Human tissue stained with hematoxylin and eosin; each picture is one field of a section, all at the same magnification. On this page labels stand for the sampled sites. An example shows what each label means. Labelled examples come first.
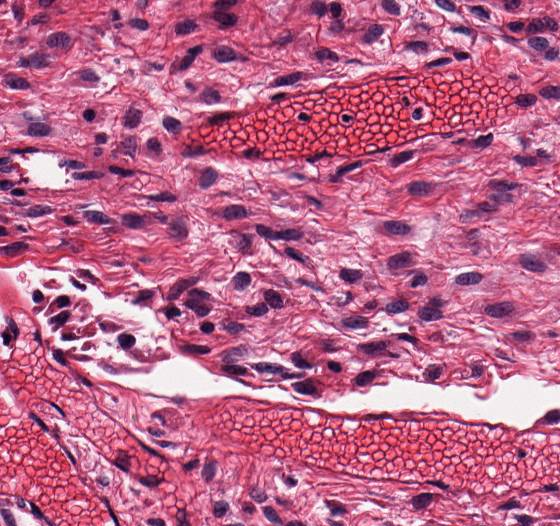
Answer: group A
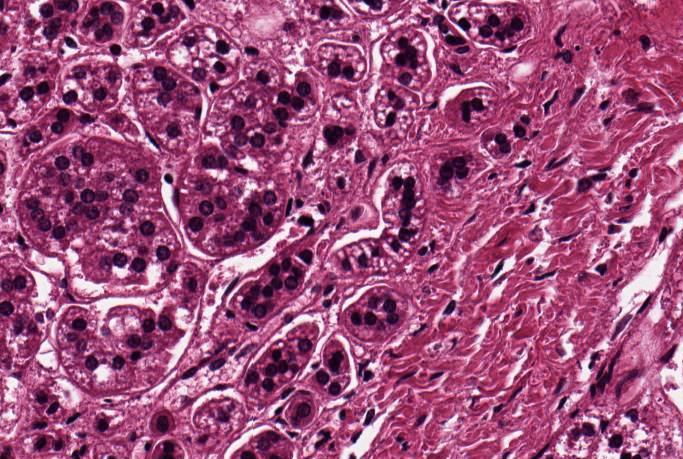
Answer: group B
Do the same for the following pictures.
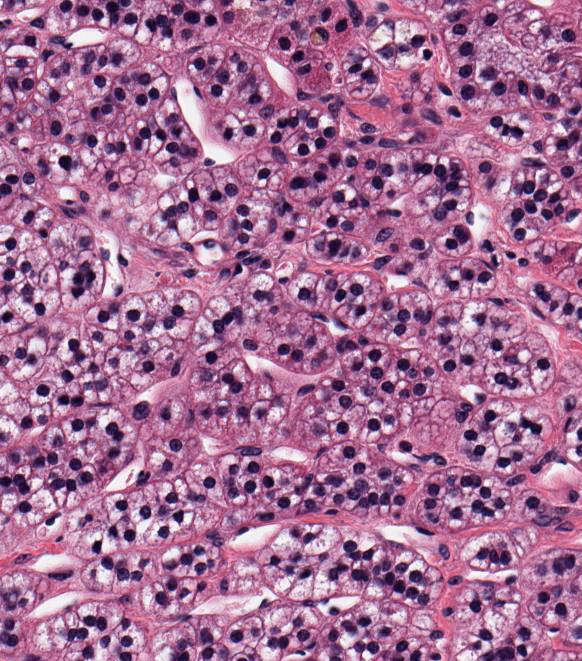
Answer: group B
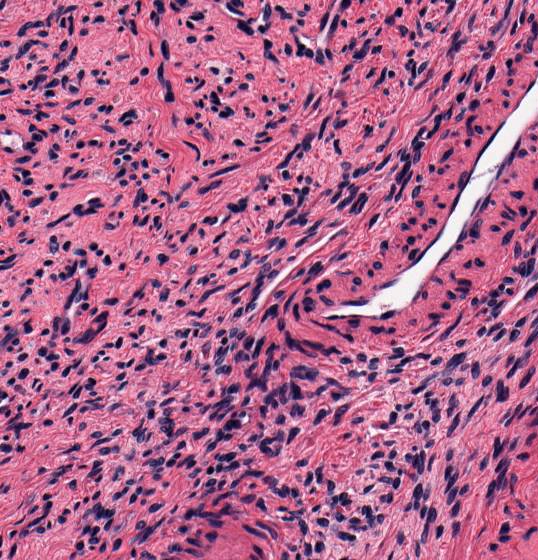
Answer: group A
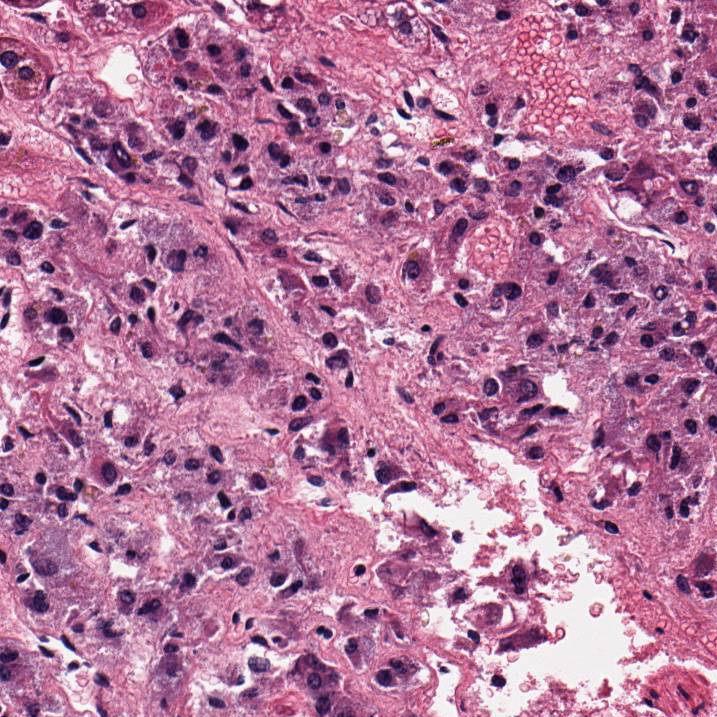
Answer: group B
